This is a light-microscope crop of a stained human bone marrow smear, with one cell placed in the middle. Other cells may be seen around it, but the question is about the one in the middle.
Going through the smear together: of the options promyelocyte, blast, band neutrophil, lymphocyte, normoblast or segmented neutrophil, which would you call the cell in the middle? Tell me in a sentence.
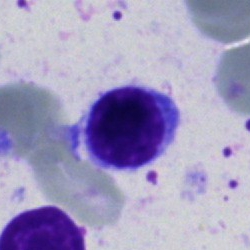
What the crop centres on is a lymphocyte.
